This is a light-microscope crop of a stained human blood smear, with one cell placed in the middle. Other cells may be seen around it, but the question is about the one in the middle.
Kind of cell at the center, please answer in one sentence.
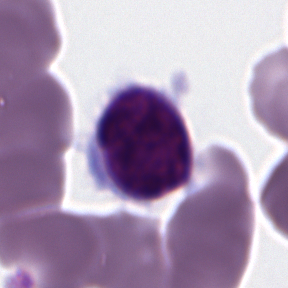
Present in the middle of the crop is a hairy cell.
